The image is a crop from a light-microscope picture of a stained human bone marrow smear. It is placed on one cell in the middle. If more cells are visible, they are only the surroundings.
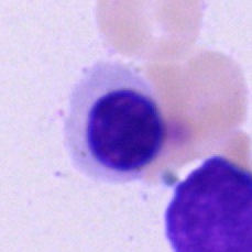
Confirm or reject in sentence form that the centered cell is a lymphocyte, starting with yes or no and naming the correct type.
No, the cell centered in the crop is an erythroblast, not a lymphocyte.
